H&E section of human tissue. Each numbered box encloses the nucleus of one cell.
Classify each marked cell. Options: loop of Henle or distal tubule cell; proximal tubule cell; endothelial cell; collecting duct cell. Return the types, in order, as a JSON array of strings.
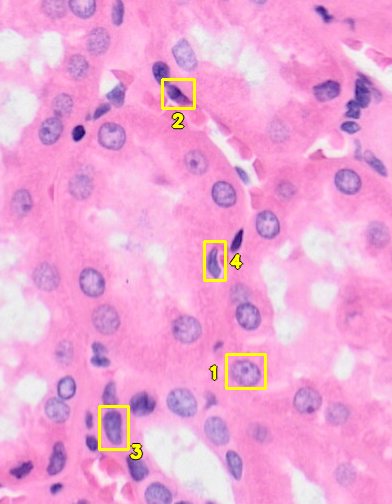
["proximal tubule cell", "endothelial cell", "collecting duct cell", "endothelial cell"]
